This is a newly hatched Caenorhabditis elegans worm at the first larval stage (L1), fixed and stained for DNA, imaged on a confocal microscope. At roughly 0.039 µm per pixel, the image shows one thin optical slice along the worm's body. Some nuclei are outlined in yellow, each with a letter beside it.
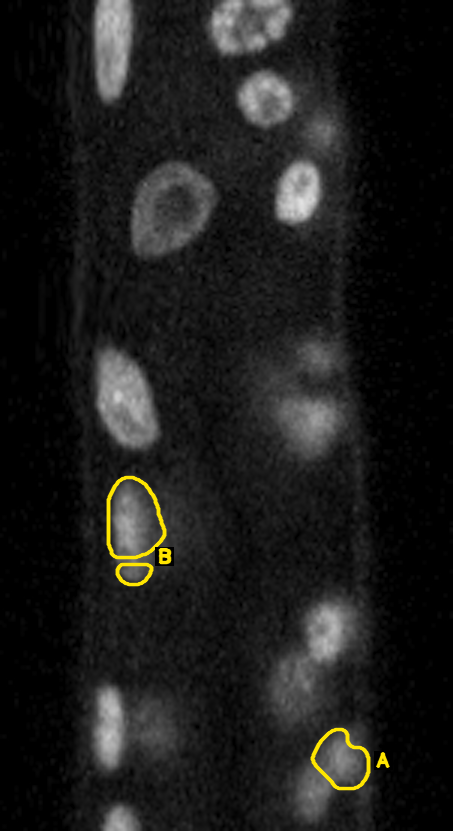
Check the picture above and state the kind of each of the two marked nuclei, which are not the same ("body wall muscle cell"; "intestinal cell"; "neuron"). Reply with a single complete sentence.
Nucleus A comes from a neuron and nucleus B from a body wall muscle cell.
